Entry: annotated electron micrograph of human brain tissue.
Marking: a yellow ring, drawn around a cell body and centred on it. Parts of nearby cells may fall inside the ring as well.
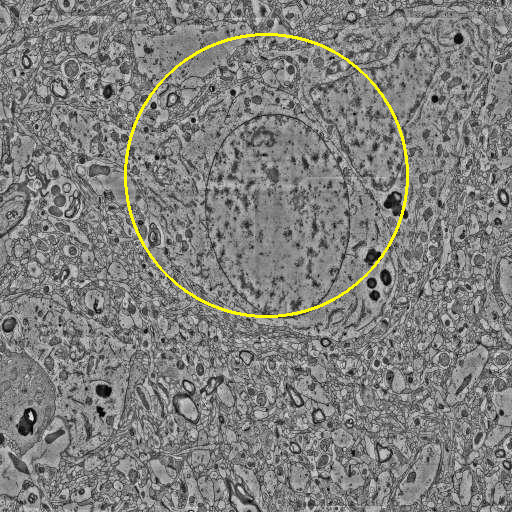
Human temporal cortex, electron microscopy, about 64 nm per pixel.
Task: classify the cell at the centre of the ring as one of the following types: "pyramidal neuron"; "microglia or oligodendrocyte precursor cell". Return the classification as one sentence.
The marked cell is classified as a pyramidal neuron.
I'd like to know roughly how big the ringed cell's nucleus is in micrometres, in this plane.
About 13 by 9 micrometers for the nucleus, in this plane.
